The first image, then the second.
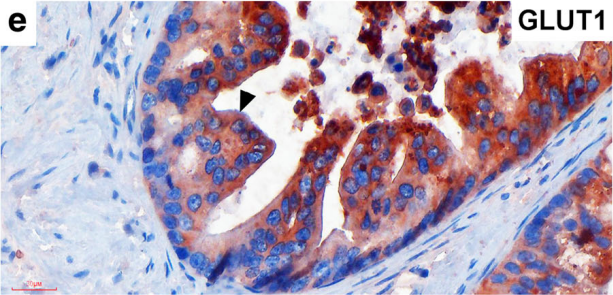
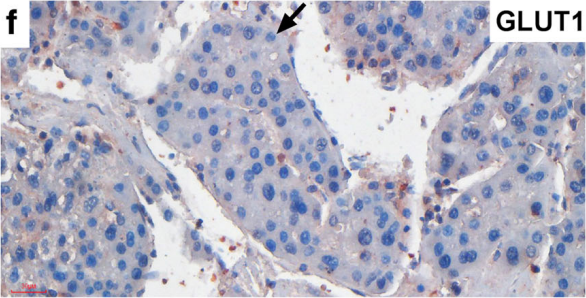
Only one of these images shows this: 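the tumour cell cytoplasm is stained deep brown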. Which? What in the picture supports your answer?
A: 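The first image. Second image: tumour cells are pale with only blue nuclei and faint background. First image: the epithelial tumour cells lining the spaces have intensely brown cytoplasm.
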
